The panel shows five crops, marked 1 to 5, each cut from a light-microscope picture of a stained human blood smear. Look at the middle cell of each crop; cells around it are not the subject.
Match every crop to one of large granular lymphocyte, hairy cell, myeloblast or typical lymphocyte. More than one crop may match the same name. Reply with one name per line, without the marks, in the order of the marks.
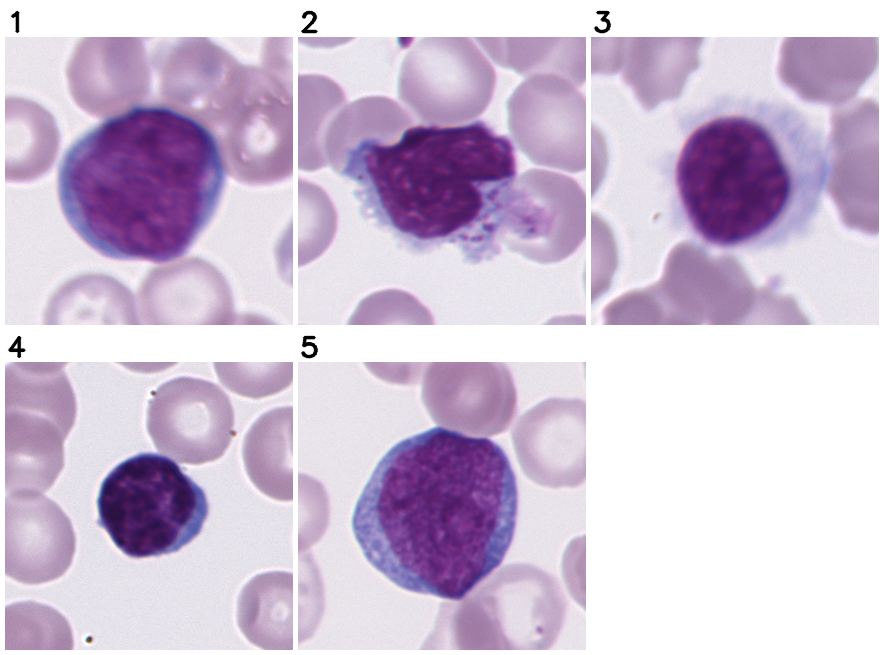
myeloblast
large granular lymphocyte
hairy cell
typical lymphocyte
myeloblast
